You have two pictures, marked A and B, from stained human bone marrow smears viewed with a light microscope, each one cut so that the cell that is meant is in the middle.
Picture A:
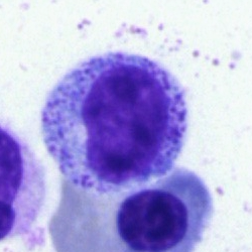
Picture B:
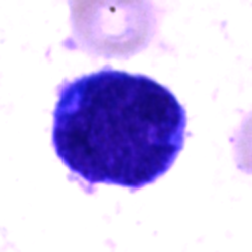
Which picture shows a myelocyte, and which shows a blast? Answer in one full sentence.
Picture B shows a blast, while picture A shows a myelocyte.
